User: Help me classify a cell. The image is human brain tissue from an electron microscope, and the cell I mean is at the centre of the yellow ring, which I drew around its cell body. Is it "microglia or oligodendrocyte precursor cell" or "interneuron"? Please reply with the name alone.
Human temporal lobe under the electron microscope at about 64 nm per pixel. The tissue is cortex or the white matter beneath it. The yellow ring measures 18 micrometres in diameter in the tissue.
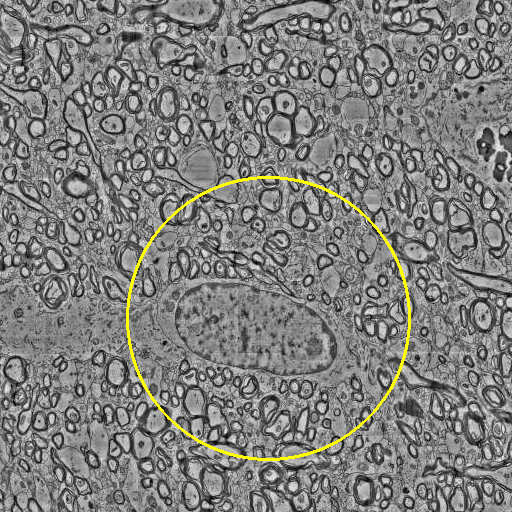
microglia or oligodendrocyte precursor cell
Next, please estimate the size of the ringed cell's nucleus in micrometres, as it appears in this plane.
Roughly 10 by 6 micrometres is the size of the nucleus in this plane.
